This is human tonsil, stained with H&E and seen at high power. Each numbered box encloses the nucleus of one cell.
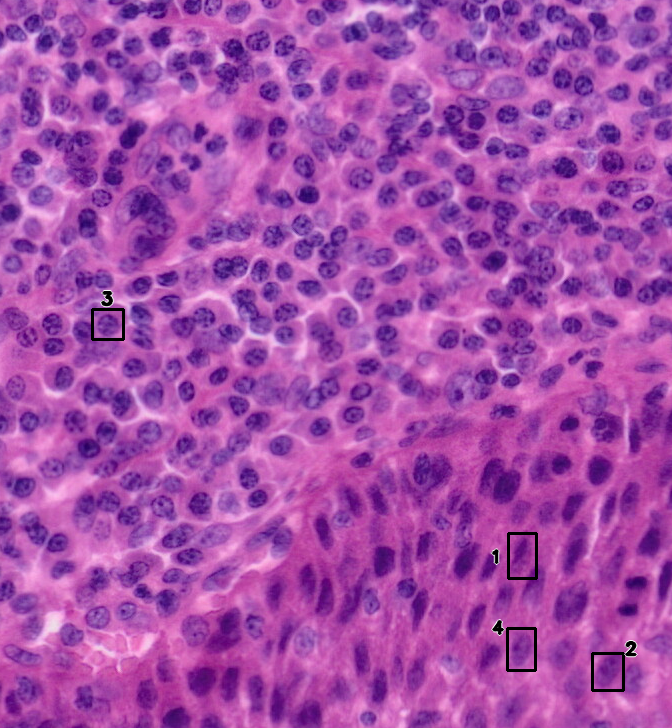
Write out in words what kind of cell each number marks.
Cells 1, 2 and 4 are squamous epithelial cells. Cell 3 is a plasma cell.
